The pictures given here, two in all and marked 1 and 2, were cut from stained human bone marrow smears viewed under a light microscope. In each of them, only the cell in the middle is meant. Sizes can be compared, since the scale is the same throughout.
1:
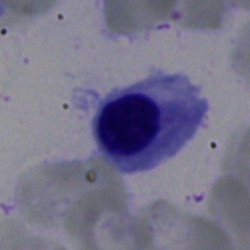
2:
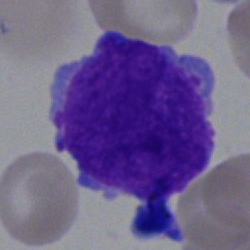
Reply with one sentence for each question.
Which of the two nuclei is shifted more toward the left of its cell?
The nucleus in crop 1 lies further toward the left of its cell.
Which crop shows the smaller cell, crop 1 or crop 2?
The cell in crop 1 is smaller; the one in crop 2 has about 2.5 times its area.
